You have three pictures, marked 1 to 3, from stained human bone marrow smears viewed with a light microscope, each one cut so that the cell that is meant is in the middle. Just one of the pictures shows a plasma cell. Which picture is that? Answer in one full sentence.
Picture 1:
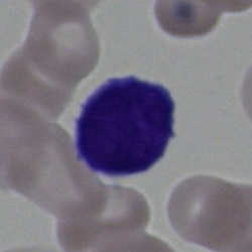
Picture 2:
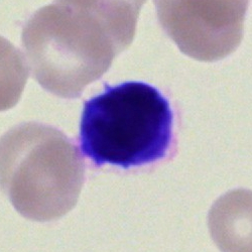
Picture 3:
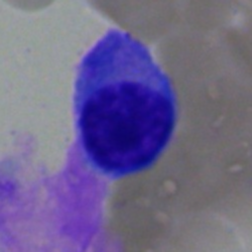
The plasma cell is the one in picture 3.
